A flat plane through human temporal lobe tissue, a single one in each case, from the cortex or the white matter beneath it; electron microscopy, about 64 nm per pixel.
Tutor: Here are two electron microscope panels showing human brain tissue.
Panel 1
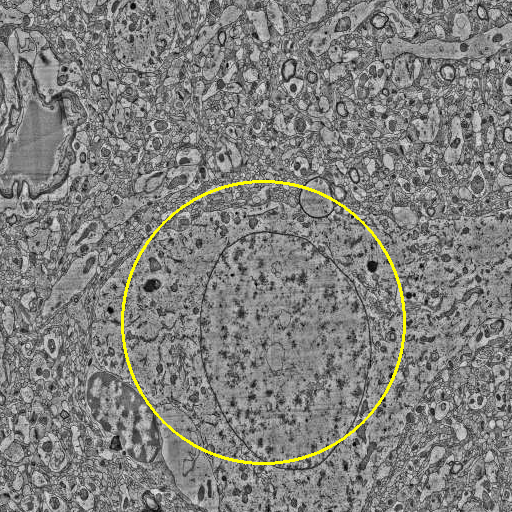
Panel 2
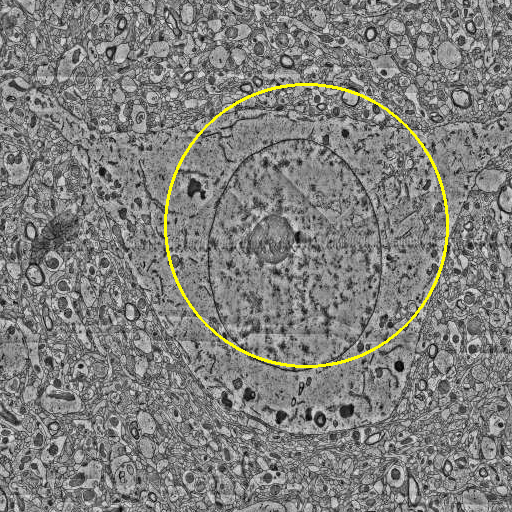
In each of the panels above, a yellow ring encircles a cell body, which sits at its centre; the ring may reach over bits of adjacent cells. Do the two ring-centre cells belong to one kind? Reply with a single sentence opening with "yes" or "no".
Yes, the two cells sitting at the ring centres in the panels belong to one kind.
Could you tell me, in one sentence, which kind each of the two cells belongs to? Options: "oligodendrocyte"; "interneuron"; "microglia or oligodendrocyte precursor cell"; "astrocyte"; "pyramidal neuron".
Both pictures show a pyramidal neuron at the centre of the ring.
